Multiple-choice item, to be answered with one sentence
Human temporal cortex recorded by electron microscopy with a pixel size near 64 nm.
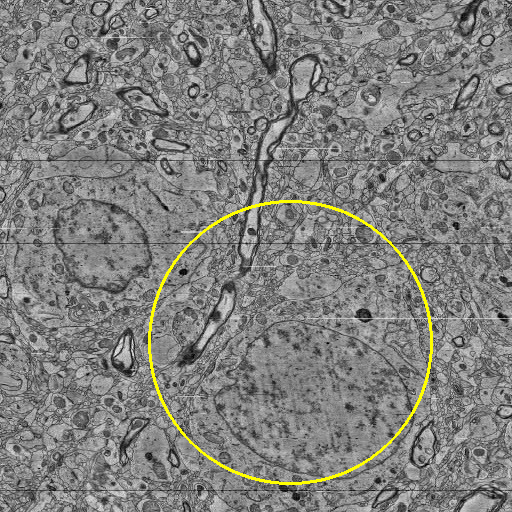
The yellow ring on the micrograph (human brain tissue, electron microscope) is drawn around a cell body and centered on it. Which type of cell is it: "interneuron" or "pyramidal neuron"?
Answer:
The ring is centered on a pyramidal neuron.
